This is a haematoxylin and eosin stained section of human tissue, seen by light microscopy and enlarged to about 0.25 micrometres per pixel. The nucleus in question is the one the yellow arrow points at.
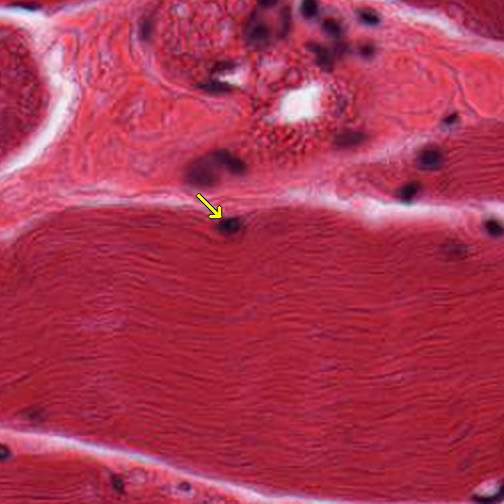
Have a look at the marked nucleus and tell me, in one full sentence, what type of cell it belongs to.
The nucleus that the mark indicates belongs to a skeletal muscle fibre.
